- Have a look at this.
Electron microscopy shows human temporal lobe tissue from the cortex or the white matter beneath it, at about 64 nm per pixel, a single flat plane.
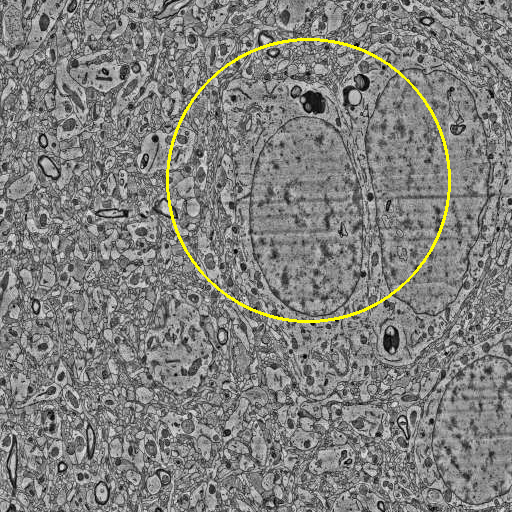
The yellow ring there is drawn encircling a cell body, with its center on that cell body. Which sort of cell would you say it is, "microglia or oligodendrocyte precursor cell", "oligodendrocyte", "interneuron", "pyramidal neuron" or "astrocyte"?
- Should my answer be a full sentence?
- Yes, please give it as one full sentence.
For this picture, a pyramidal neuron is the cell where the yellow ring has its center.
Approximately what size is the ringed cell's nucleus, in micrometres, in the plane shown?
In this plane the nucleus measures about 13 by 7 micrometres and is clearly longer than it is wide.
